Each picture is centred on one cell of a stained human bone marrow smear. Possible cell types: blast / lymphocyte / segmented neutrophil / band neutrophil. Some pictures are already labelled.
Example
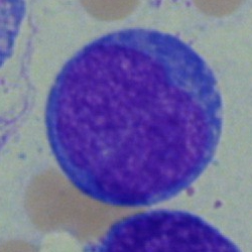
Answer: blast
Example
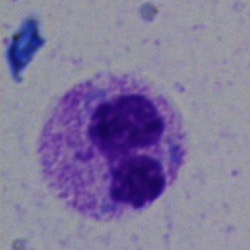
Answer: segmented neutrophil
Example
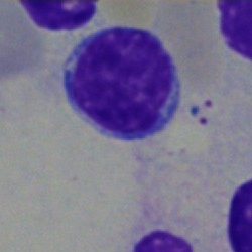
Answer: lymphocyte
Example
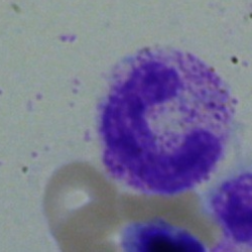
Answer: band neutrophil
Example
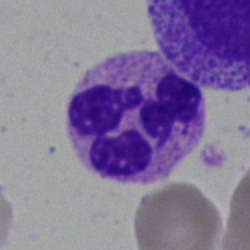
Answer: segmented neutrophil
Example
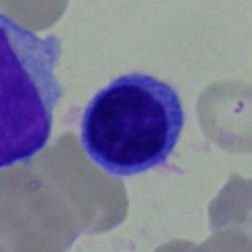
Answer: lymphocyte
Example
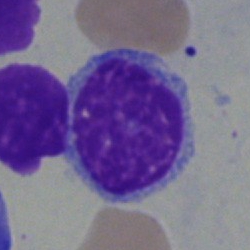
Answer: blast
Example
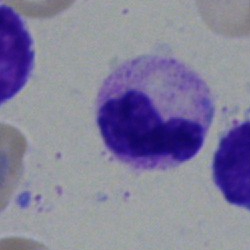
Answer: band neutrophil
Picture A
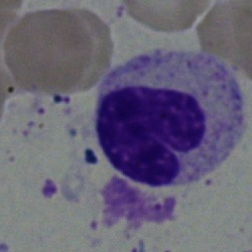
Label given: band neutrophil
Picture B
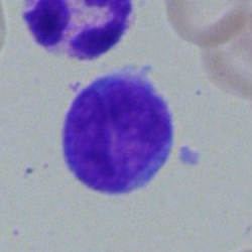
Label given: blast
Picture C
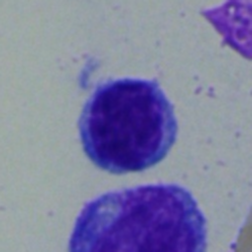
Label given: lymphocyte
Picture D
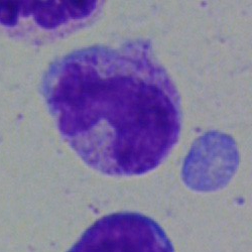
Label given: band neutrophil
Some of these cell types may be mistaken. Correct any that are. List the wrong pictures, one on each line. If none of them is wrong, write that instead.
Every label is right.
